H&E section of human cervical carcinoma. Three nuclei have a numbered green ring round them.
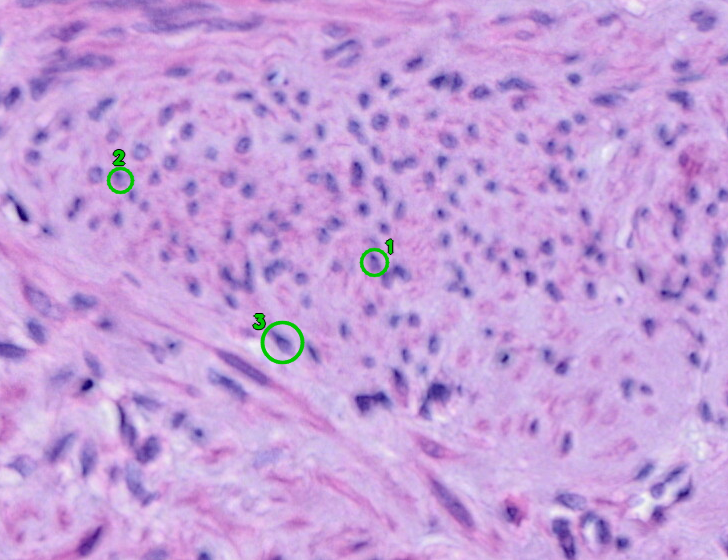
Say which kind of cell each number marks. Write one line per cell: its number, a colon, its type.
1: smooth muscle cell
2: smooth muscle cell
3: fibroblast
